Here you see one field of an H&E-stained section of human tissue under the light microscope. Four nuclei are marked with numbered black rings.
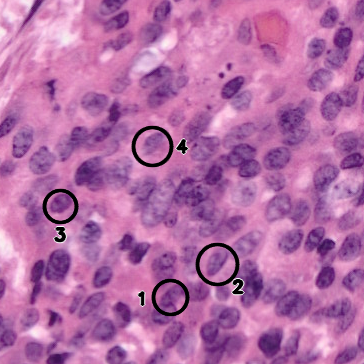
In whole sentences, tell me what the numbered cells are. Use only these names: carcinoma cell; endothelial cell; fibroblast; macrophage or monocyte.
Cells 1, 2 and 3 are carcinoma cells. Cell 4 is a macrophage or monocyte.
